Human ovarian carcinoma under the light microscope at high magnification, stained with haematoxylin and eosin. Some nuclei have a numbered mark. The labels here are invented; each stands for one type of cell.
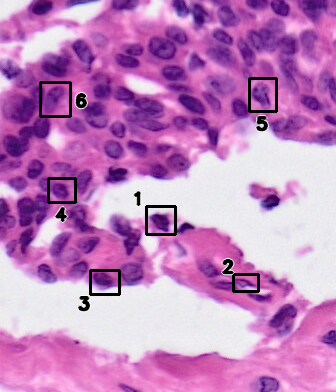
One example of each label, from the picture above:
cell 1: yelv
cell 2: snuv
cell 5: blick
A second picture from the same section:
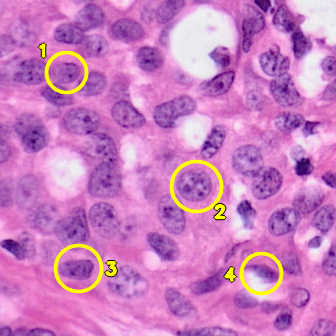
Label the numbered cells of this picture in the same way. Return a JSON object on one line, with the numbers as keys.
{"1": "yelv", "2": "yelv", "3": "blick", "4": "snuv"}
